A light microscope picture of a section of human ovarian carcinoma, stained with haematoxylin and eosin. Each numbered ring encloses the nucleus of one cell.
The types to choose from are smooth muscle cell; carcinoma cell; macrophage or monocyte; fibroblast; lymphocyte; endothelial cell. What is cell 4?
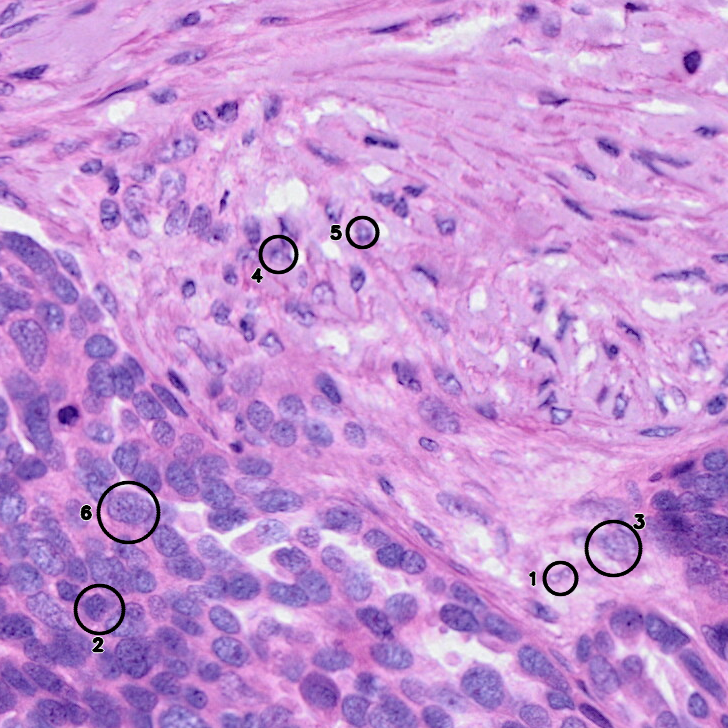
fibroblast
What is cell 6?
carcinoma cell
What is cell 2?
carcinoma cell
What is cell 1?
fibroblast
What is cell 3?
fibroblast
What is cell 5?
fibroblast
